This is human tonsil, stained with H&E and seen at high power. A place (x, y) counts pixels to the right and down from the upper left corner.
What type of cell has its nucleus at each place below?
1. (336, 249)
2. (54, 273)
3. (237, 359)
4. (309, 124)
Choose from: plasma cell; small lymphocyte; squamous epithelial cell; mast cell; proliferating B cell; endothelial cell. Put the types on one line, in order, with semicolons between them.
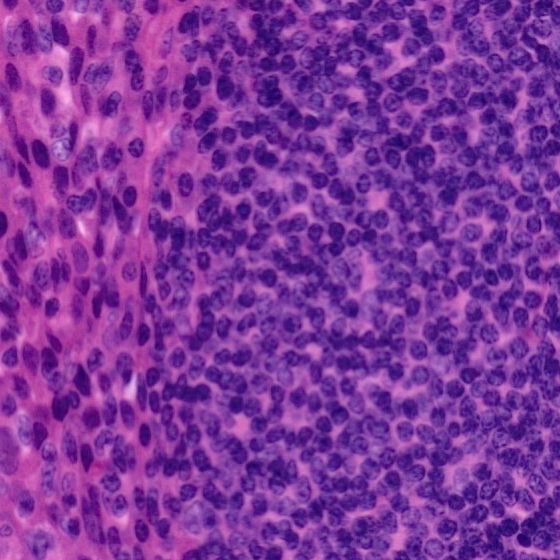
small lymphocyte; squamous epithelial cell; small lymphocyte; small lymphocyte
